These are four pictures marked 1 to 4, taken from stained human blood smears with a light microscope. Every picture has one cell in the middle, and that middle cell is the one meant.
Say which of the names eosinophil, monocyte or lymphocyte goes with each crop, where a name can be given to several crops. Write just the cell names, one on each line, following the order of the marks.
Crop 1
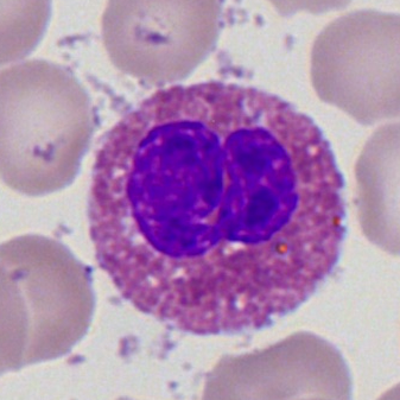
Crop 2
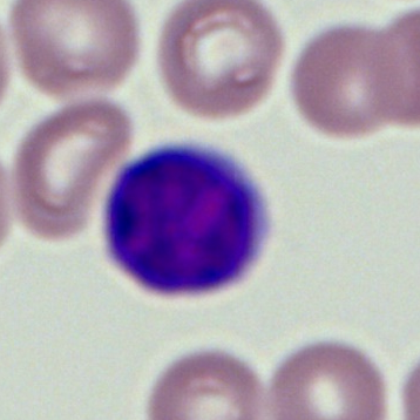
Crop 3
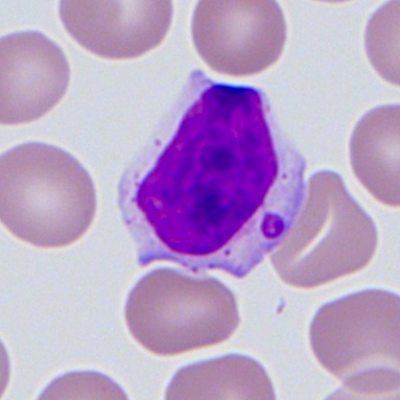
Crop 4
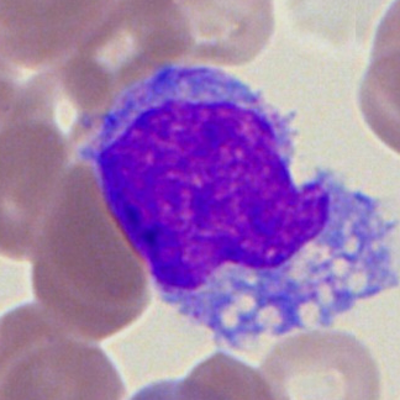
eosinophil
lymphocyte
lymphocyte
monocyte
